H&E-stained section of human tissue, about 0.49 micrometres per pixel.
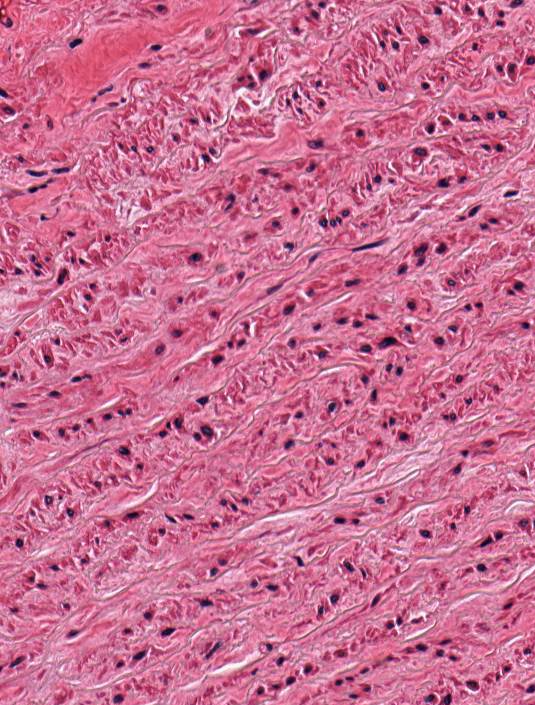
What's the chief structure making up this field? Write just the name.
tunica media of an artery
